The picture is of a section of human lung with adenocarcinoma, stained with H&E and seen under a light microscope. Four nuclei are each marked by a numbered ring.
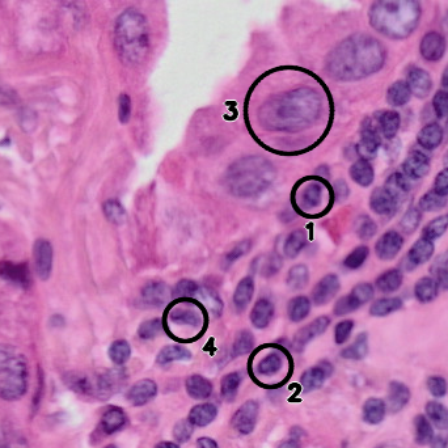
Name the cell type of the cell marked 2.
lymphocyte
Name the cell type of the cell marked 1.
lymphocyte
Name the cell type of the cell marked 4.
lymphocyte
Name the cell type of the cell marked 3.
carcinoma cell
